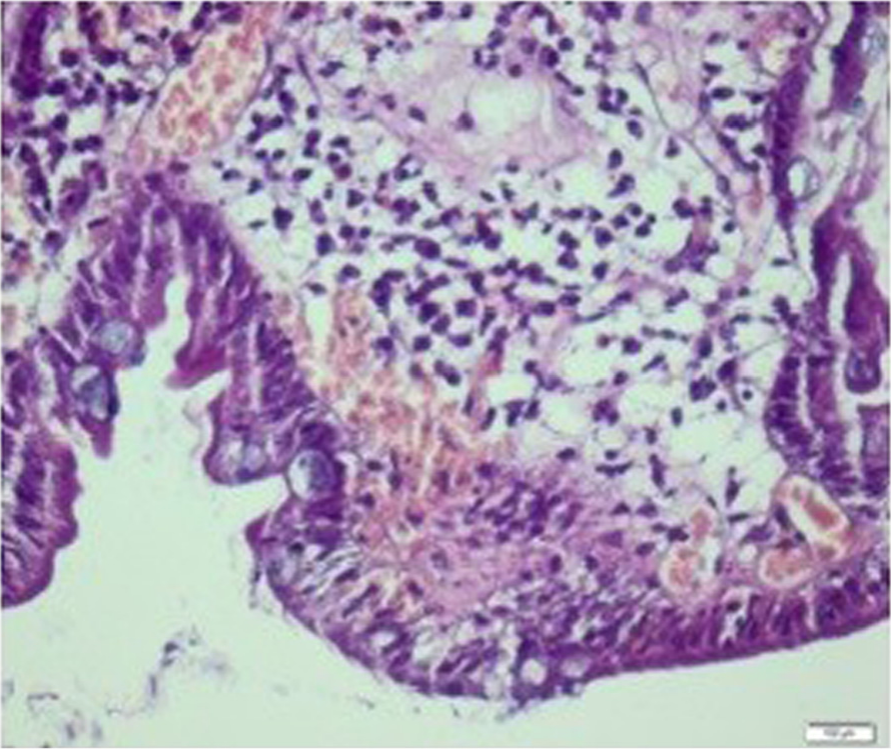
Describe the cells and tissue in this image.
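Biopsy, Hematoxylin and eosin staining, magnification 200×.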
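This is a section of glandular mucosa lined by a single layer of tall columnar epithelium, with a loose connective tissue core beneath it that holds a mild lymphoplasmacytic inflammatory infiltrate. The epithelial cells have elongated, dark-purple nuclei set toward the base and form a continuous surface along the lower and side edges. Rounded, pale goblet cells with grayish-blue contents lie scattered within the epithelium. The core holds many small round cells with dark nuclei, spread loosely through a pale, partly open stroma. Small vessels packed with red blood cells appear as pink-red clusters within the core.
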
